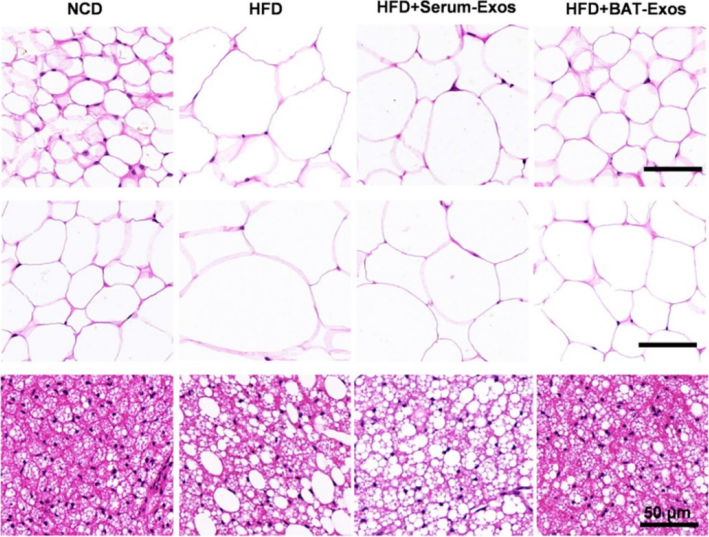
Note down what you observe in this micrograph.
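Three rows of fat tissue stained pink and purple. The top two rows show white fat: each adipocyte is a large, empty-looking polygonal or rounded space bordered by a thin pink rim of cytoplasm, with small dark nuclei pressed flat at the cell edge. Across the row, the cell size varies markedly, from small, tightly packed adipocytes to very large, irregular ones. The bottom row shows brown fat: densely packed cells with pink cytoplasm full of small vacuoles and central dark nuclei. In some images, larger clear lipid droplets are scattered among these cells.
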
